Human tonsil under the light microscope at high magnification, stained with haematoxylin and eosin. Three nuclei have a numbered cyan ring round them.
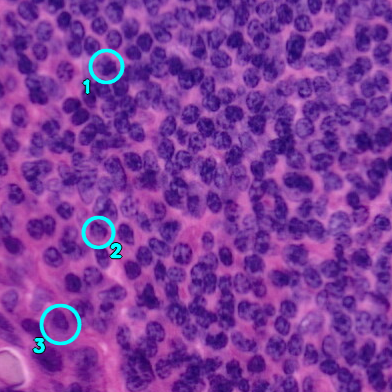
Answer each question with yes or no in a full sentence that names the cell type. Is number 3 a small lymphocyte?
No, as for cell 3, it is a squamous epithelial cell and not a small lymphocyte.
